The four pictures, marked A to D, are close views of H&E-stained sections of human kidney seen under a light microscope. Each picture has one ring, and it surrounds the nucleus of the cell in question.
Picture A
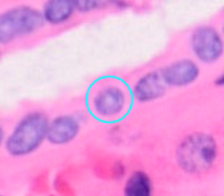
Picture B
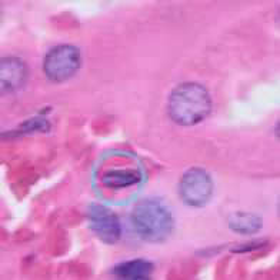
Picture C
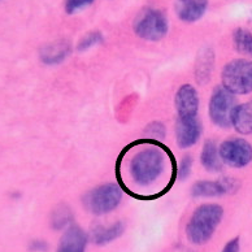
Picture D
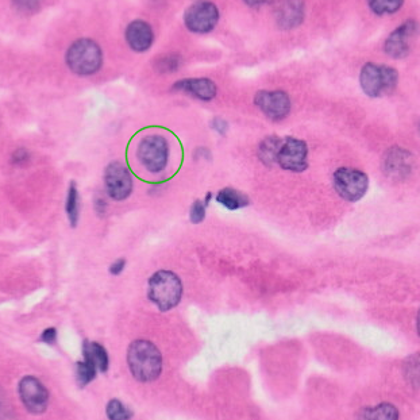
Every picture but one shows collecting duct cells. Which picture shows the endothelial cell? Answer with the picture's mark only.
B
